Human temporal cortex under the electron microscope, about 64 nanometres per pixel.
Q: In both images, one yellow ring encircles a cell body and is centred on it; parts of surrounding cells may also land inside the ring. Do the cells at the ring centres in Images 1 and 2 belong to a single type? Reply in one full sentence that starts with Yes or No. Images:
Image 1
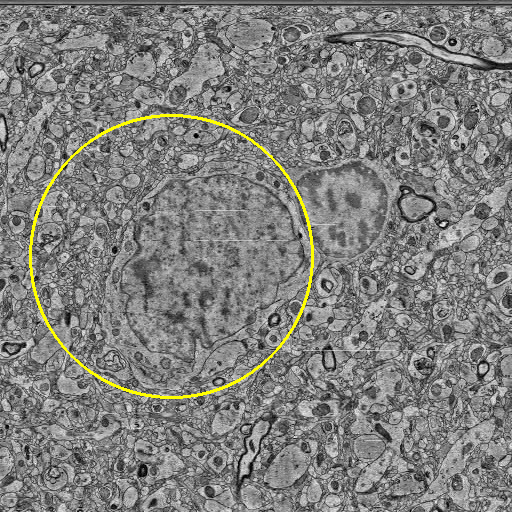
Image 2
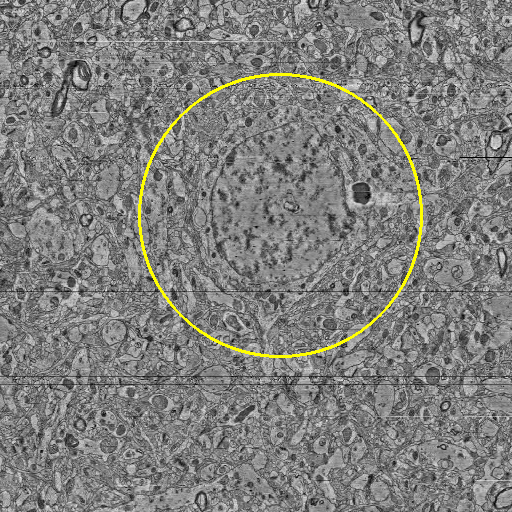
Yes, the cells at the ring centres in Images 1 and 2 are of a single type.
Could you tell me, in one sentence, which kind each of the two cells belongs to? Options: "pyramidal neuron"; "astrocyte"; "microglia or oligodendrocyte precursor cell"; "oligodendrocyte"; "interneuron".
In both pictures the ring is centred on an interneuron.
